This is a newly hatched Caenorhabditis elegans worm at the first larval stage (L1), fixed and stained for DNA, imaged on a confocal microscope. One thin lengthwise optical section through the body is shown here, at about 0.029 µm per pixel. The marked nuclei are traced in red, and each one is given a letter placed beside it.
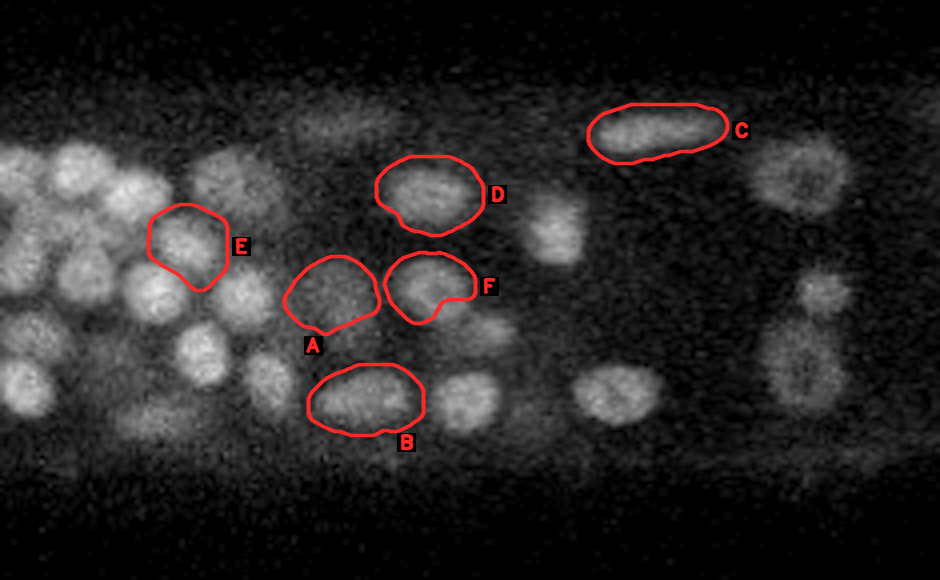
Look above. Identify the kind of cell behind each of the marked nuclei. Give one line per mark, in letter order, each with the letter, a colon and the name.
A: pharyngeal muscle cell
B: body wall muscle cell
C: body wall muscle cell
D: pharyngeal marginal cell
E: neuron
F: pharyngeal muscle cell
